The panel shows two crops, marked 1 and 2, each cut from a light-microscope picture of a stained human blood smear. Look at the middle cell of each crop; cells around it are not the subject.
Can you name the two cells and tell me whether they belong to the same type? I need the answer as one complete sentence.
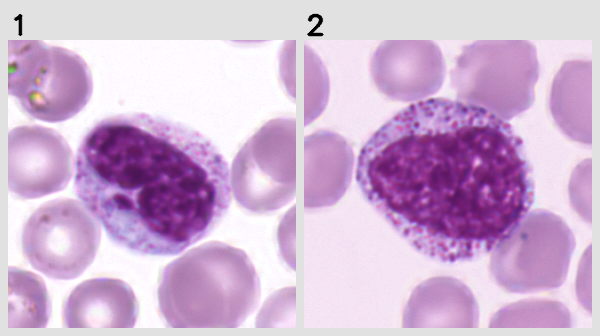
No, crop 1 shows a band neutrophil, and crop 2, by contrast, shows a metamyelocyte.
